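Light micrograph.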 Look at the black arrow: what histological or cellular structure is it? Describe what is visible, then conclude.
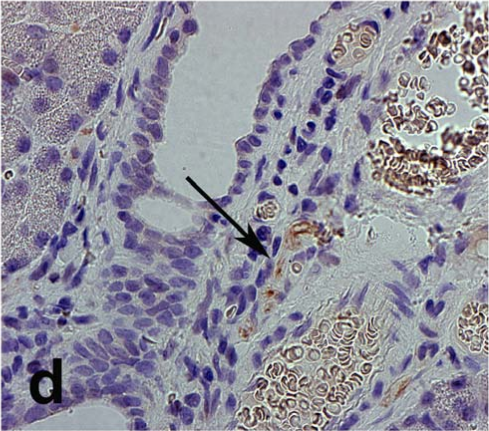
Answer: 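Thin, faintly brown-stained strands lie in connective tissue. Blood vessels packed with red cells are nearby. So: nerve fibers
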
